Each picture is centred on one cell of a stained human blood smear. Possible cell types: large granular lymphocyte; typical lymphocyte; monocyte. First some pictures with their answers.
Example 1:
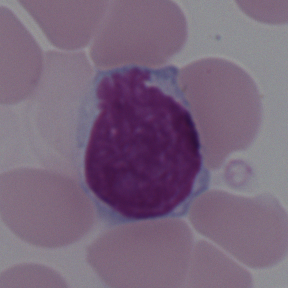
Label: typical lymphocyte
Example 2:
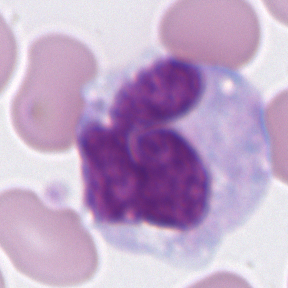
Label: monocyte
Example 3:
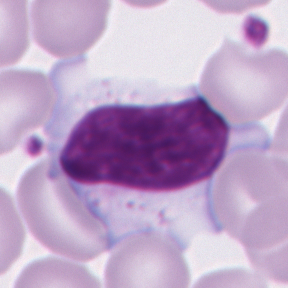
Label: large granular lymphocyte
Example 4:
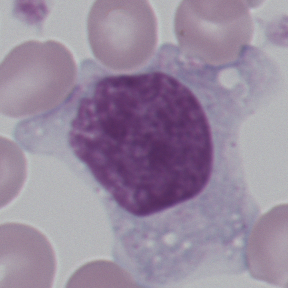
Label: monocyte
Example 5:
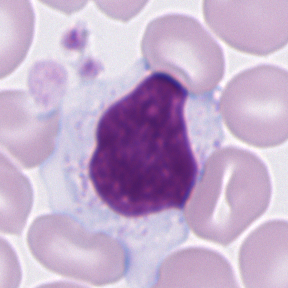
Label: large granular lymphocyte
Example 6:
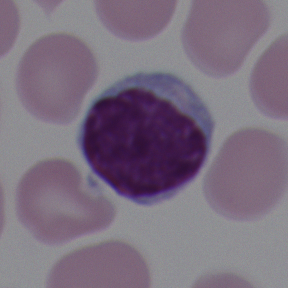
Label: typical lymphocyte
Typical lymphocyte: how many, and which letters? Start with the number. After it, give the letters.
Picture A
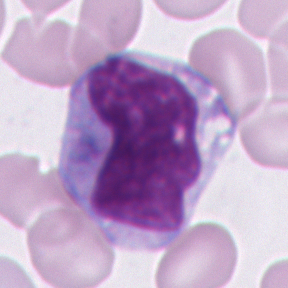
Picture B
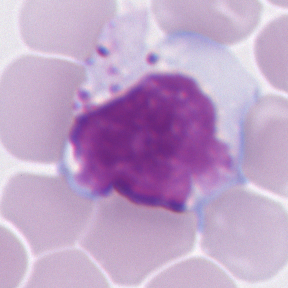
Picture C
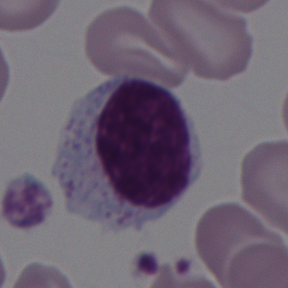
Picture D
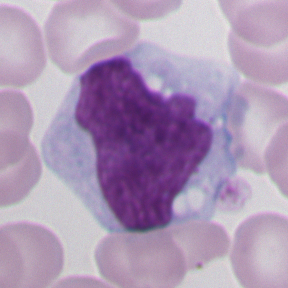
0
